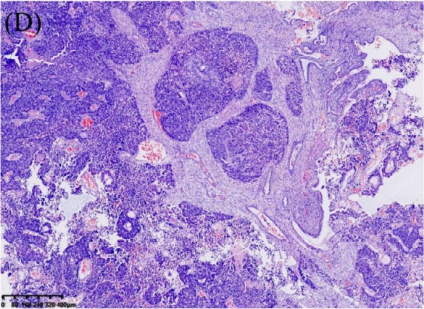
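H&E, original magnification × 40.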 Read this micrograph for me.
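Low-power view of a cellular tumour arranged in rounded nests, solid sheets and cords. Nests of densely packed, dark purple cells are outlined by bands of pale pink fibrous stroma. Around them, irregular trabeculae and sheets of tumour cells lie among loose stroma with small blood vessels containing red cells. Some areas are fragmented with empty spaces.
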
